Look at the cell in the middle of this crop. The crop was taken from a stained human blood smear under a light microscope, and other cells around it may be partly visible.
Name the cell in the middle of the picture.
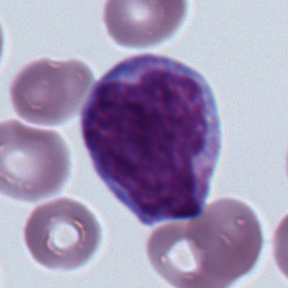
atypical promyelocyte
